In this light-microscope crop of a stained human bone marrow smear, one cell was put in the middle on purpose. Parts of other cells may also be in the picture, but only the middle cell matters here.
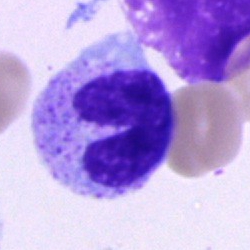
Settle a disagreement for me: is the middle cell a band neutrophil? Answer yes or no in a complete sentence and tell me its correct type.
Yes, the cell that the crop is centered on is a band neutrophil.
